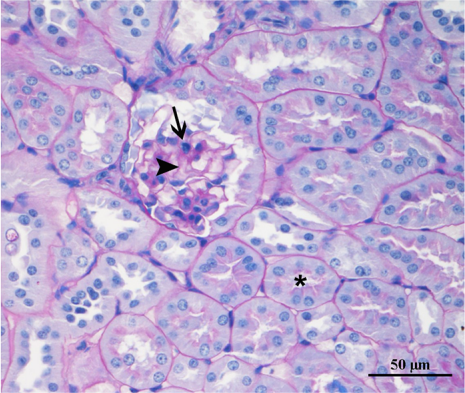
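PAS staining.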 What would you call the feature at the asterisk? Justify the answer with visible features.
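The asterisk sits in a round tubule lined by cuboidal cells with round central nuclei. The lining cells have abundant pale pink cytoplasm. The tubule is outlined by a thin magenta basement membrane. The answer: proximal tubule.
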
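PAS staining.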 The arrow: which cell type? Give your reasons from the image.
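Mesangial cell. The arrow points to a dark nucleus inside the glomerular tuft. The nucleus lies amid magenta-staining material between capillary loops.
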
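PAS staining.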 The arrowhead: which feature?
Mesangial matrix.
